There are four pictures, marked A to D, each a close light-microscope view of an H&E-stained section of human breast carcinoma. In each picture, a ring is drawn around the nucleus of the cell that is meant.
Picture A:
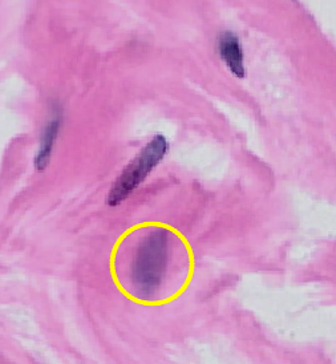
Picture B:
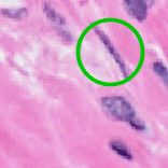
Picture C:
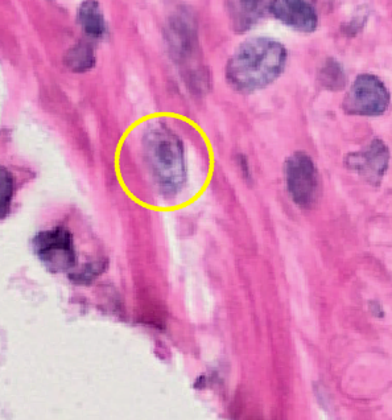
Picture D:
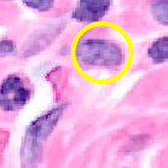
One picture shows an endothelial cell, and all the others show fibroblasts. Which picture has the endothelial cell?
D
